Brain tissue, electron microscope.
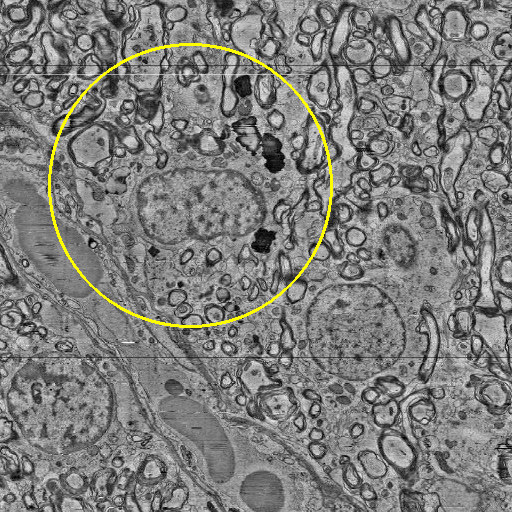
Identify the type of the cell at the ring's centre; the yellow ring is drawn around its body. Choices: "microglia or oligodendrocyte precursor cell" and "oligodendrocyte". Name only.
oligodendrocyte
